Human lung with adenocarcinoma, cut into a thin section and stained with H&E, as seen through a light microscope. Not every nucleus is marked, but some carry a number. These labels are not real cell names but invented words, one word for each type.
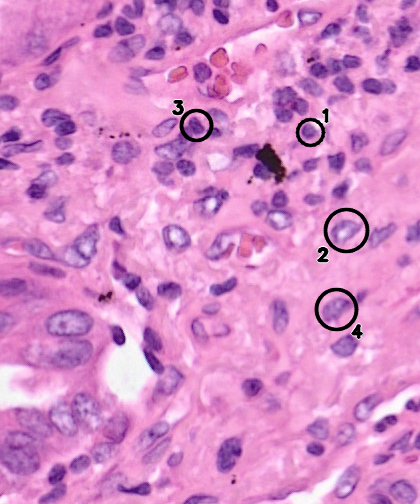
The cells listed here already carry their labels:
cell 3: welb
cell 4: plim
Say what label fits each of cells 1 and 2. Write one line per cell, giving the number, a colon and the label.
1: welb
2: plim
